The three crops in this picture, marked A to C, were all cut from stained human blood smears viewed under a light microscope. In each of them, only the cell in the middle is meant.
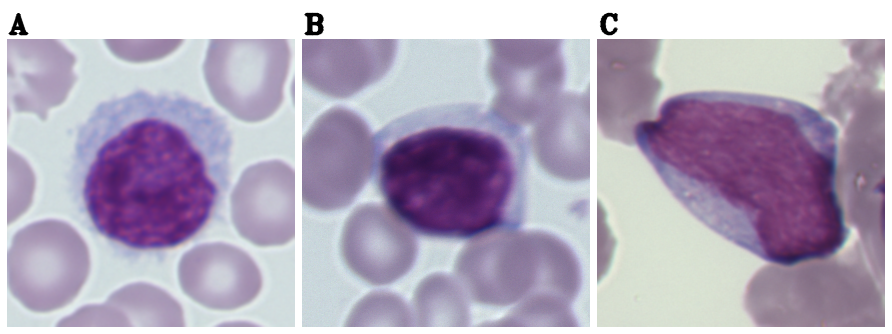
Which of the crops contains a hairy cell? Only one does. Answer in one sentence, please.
Crop A is the one in the set with a hairy cell at the center.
